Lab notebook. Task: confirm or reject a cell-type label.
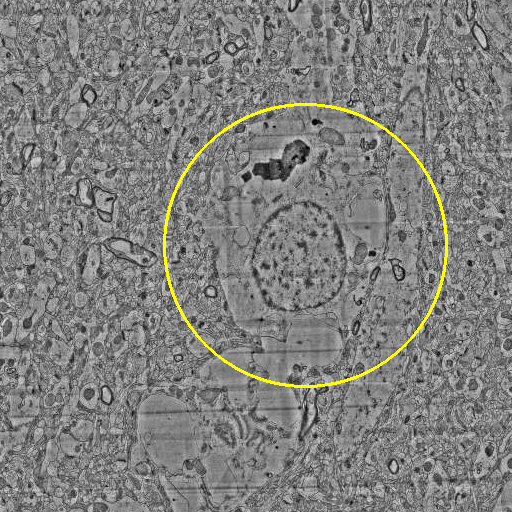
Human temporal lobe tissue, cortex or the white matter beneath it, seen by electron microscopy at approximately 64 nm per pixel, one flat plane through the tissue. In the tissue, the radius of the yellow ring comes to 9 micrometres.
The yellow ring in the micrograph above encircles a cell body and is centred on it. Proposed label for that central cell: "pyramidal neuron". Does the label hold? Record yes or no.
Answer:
no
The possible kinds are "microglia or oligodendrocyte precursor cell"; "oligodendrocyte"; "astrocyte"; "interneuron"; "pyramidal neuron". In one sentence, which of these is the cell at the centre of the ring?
The correct answer is that the cell is an astrocyte.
